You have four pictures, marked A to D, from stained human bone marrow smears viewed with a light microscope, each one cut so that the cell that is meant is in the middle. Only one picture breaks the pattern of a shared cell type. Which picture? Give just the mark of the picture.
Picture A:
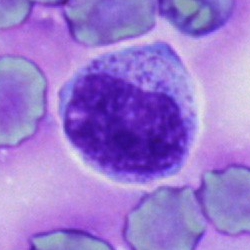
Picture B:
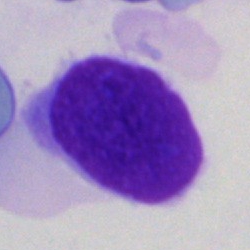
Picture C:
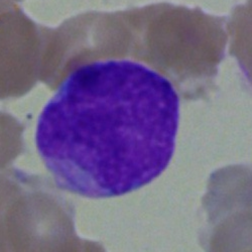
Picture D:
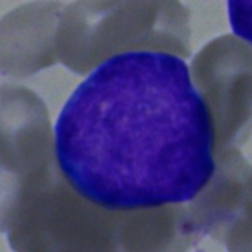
A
